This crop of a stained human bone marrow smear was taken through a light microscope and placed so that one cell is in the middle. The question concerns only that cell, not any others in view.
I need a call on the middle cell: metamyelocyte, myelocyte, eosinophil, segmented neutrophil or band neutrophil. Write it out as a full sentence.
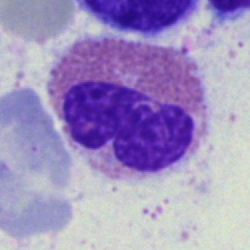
The middle cell in this particular crop is an eosinophil.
